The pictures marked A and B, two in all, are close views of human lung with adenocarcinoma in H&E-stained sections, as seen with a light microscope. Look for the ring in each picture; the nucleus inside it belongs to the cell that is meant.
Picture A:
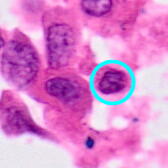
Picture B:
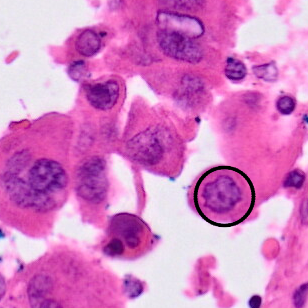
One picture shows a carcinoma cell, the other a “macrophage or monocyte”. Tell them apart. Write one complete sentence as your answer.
The cell in picture A is a “macrophage or monocyte”, and the one in picture B is a carcinoma cell.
